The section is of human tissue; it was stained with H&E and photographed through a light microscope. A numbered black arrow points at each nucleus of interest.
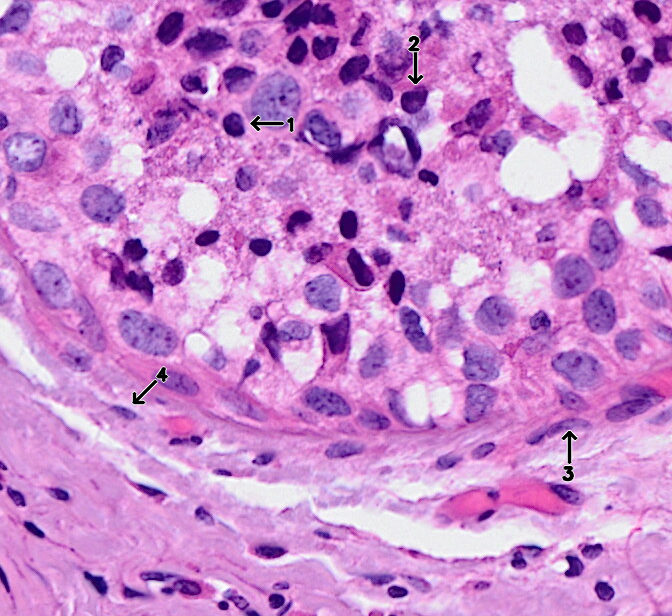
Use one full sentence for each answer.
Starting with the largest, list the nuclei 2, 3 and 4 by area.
Largest first, the order by area is 2, 3, 4.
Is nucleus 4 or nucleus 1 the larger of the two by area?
Nucleus 1 is the larger one, covering about 2 times the area of nucleus 4.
